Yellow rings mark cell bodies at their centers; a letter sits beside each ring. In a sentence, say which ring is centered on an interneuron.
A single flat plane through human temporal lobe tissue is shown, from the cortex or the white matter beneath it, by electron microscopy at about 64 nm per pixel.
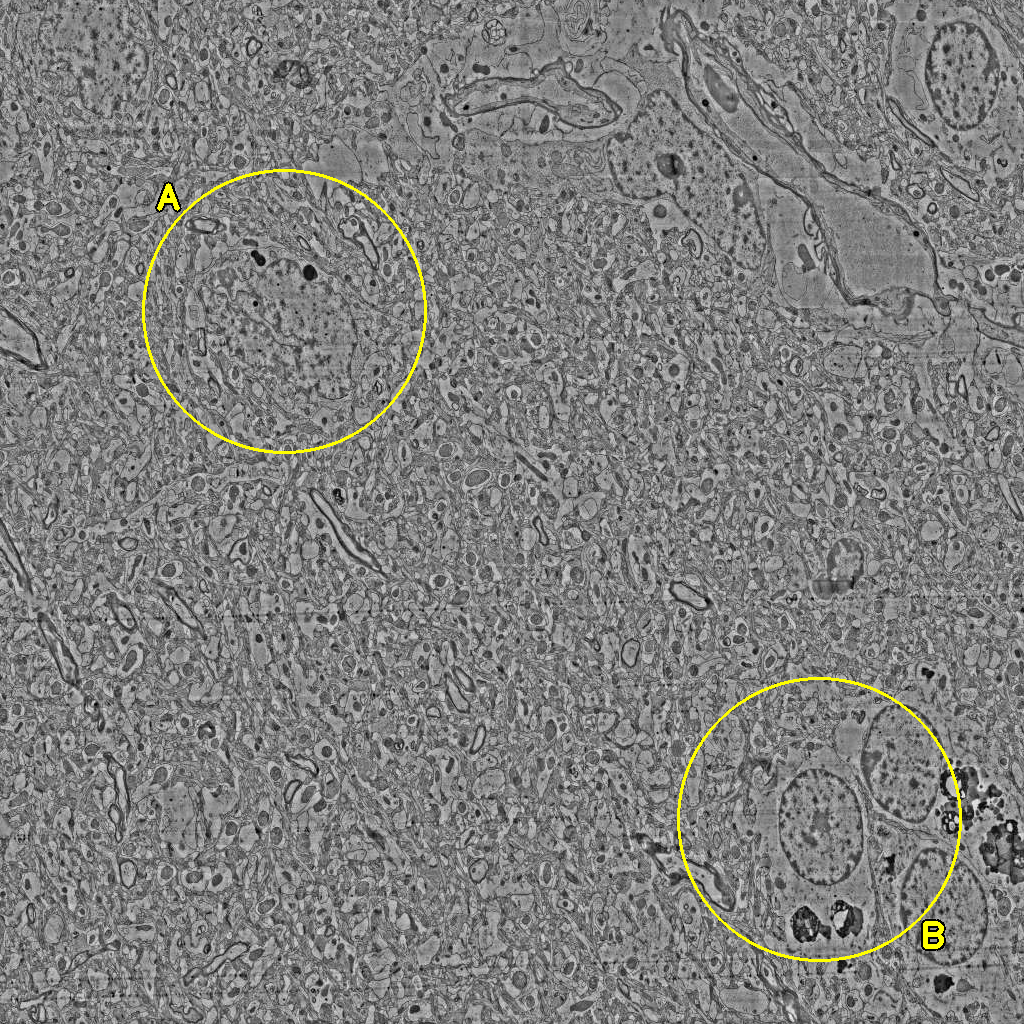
It is ring A.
